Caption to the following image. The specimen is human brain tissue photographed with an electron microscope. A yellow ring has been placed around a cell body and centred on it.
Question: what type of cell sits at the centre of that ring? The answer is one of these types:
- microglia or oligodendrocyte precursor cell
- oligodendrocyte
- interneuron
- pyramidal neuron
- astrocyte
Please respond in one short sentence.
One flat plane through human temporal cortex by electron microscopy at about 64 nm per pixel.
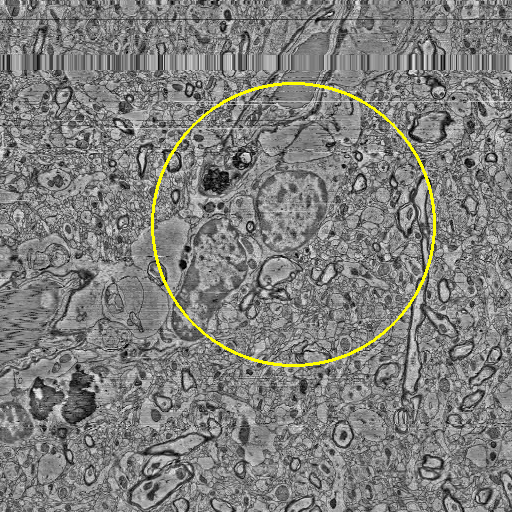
The ring surrounds the cell body of an oligodendrocyte.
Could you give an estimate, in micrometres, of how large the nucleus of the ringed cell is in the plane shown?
The nucleus works out at approximately 6 by 4 micrometres in this plane.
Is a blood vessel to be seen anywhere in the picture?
Yes, a blood vessel is present in this picture.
